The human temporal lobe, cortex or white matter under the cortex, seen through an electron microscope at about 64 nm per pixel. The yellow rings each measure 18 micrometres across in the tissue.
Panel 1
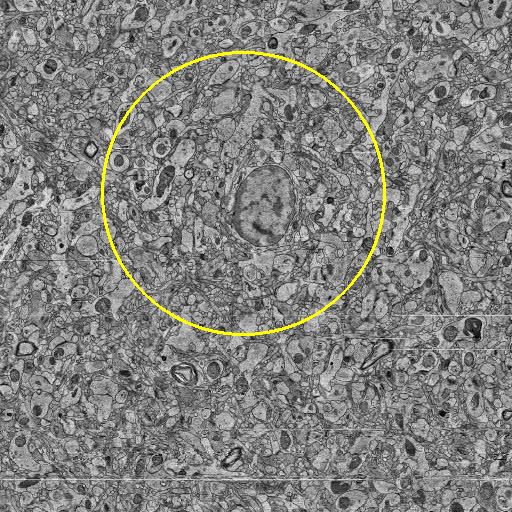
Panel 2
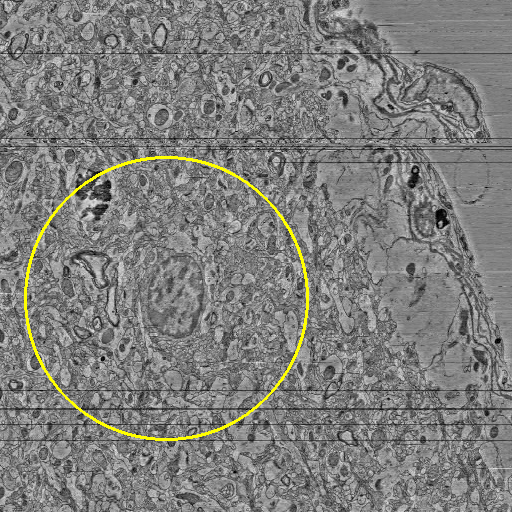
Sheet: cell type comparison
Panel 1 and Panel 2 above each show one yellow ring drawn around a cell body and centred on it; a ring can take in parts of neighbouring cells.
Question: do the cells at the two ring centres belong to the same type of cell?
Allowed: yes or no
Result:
no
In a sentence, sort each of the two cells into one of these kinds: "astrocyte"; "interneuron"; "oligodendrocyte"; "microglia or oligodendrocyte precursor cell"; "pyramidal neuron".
The first of the two cells is a microglial cell or oligodendrocyte precursor cell, and the second is an oligodendrocyte.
